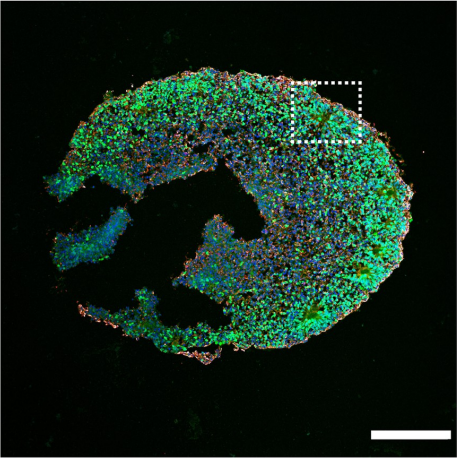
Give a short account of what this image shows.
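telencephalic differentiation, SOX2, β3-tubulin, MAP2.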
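This is a thin section through a brain organoid, seen at low magnification so that the whole rounded body fits in view. The tissue is packed with cells whose nuclei show blue, and a great many of them are also labelled green, giving much of the section a mottled green-blue look. Along the outer border runs a thin, bright rim where red and white label gather. The lower left part of the section is broken up, with large empty gaps and separate fragments of tissue lying apart from the main body. A dotted box near the upper right edge picks out a region of the densely cellular periphery for closer inspection.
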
